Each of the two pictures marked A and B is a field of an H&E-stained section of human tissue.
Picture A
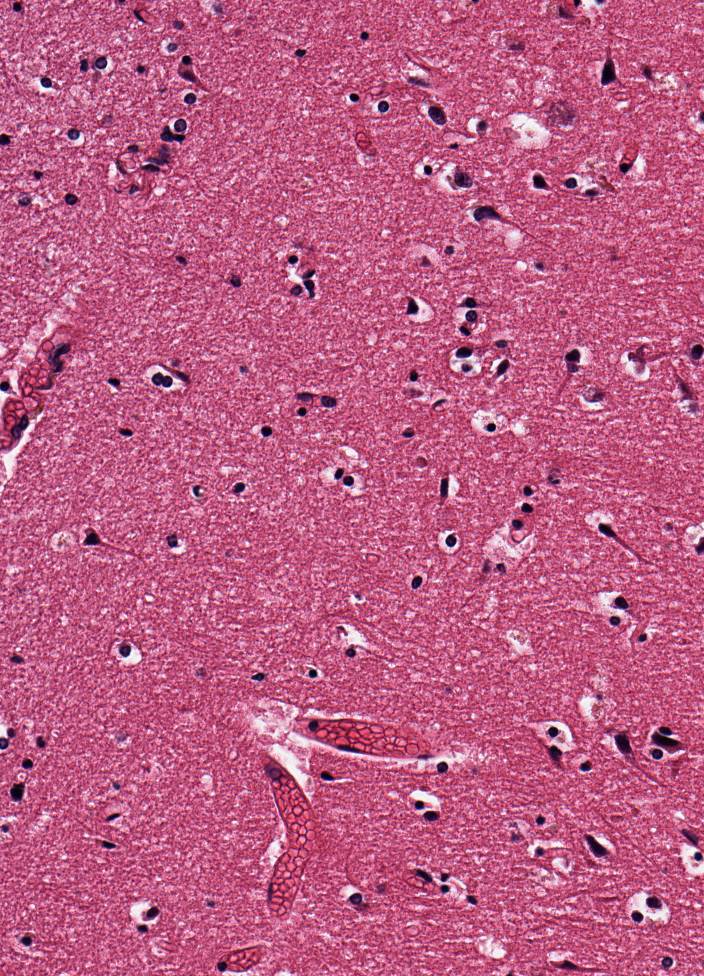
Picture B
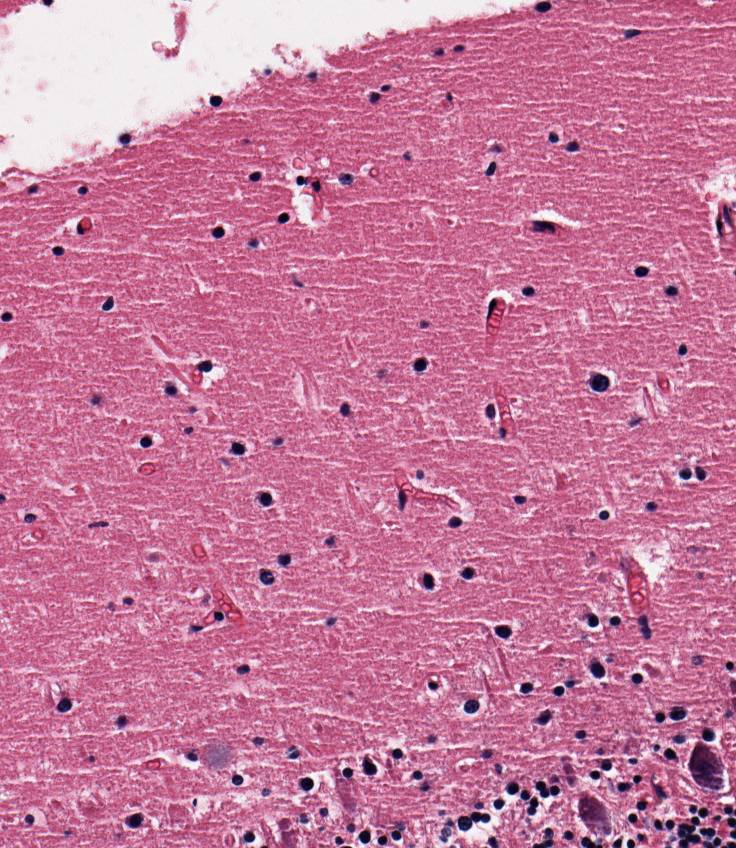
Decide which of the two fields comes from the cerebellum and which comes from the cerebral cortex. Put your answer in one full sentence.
Picture B comes from the cerebellum, while picture A comes from the cerebral cortex.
